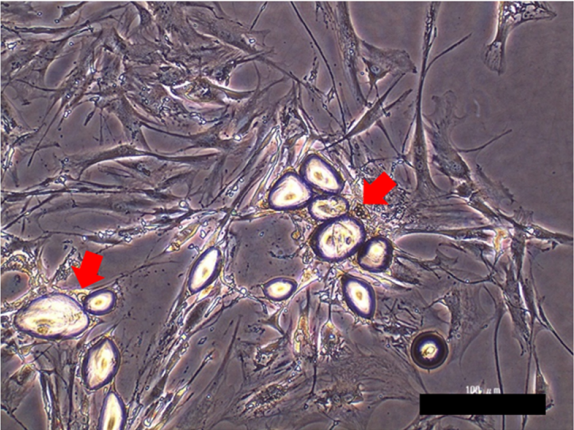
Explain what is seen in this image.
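This unstained culture holds elongated, spindle-shaped cells with long, thin processes that lie across and over one another. Among them sits a cluster of rounded and oval, strongly refractile bodies with dark rims and bright centres, the lipid droplets of mature adipocytes. The fat-laden rounded cells contrast with the flat, spreading spindle cells around them.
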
